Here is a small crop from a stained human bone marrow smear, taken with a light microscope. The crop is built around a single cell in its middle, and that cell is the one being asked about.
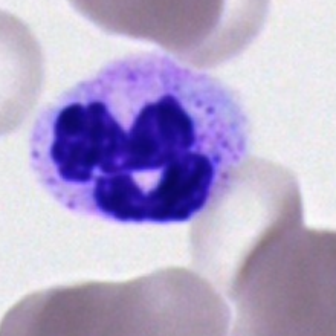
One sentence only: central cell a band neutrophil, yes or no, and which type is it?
No, not a band neutrophil but a segmented neutrophil is the cell in the centre.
